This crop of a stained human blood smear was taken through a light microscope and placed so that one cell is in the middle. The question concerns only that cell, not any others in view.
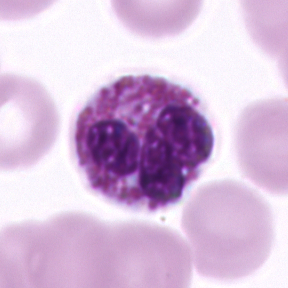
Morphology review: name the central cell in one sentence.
Here the centrally located cell is an eosinophil.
